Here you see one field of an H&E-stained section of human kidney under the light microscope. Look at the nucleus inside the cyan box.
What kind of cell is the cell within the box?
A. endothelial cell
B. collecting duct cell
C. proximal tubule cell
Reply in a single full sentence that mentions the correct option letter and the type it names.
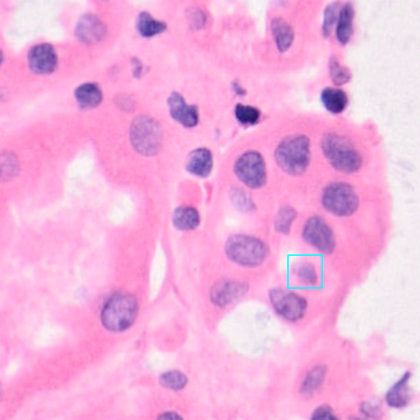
Option B names it right: the cell within the box is a collecting duct cell.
